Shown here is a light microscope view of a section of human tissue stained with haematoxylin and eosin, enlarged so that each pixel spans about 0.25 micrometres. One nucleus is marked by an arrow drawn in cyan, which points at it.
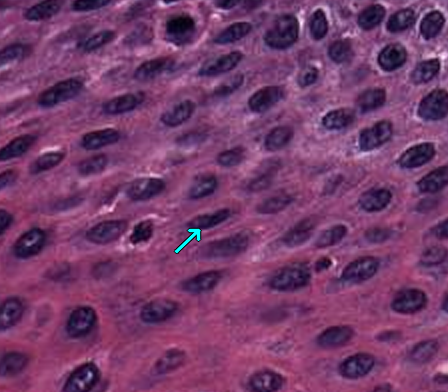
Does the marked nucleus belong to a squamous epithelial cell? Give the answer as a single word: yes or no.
yes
